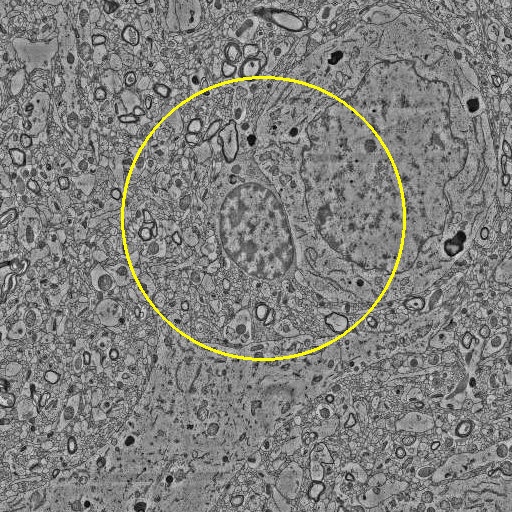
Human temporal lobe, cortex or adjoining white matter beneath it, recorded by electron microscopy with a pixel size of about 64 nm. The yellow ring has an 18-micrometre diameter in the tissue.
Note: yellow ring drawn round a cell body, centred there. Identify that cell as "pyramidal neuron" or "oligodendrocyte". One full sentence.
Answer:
The cell in the middle of the ring is an oligodendrocyte.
